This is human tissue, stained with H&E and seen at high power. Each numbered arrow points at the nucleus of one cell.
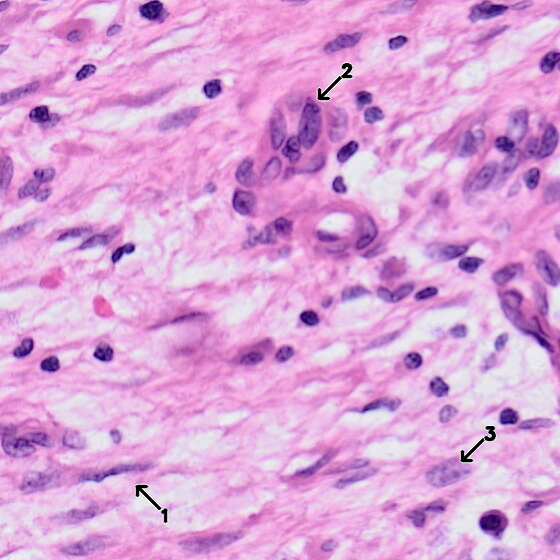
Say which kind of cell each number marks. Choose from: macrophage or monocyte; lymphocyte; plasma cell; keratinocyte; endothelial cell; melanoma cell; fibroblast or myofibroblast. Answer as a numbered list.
1. fibroblast or myofibroblast
2. endothelial cell
3. fibroblast or myofibroblast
